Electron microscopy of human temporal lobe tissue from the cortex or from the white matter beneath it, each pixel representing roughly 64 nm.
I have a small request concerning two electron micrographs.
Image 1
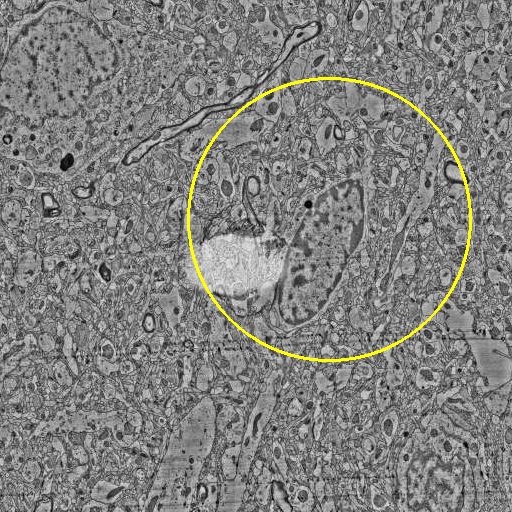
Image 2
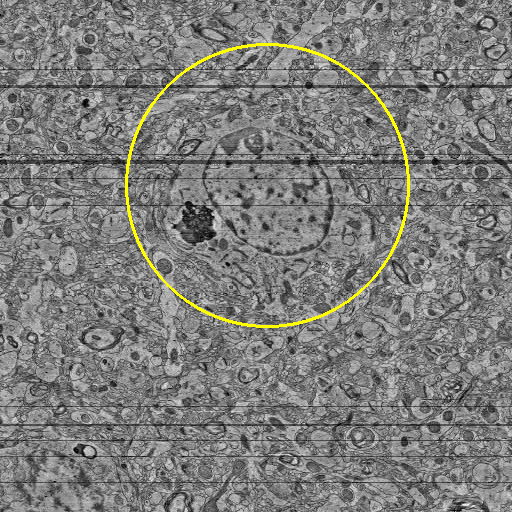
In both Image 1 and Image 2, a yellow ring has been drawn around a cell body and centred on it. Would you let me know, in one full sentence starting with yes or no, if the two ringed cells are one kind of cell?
No, the cells ringed in Image 1 and Image 2 are two kinds of cell.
